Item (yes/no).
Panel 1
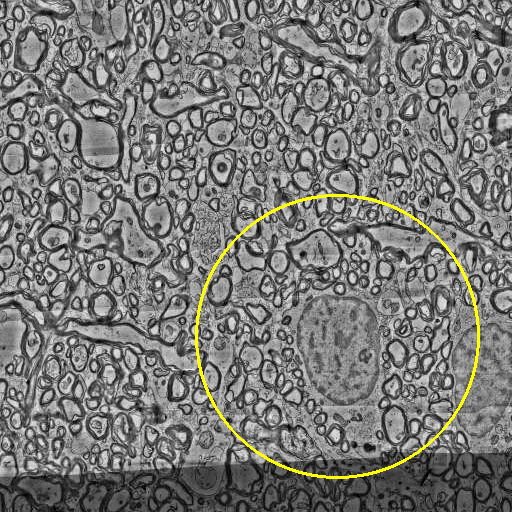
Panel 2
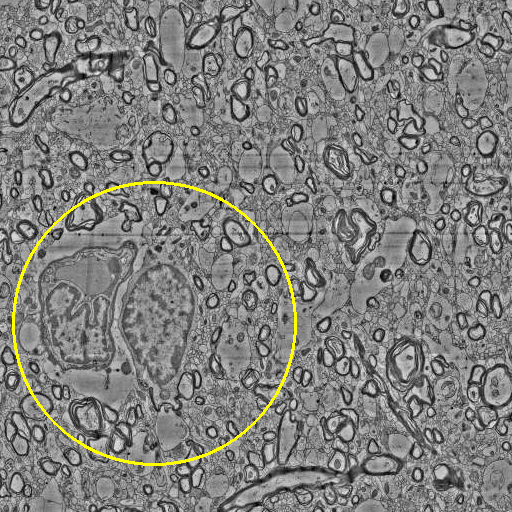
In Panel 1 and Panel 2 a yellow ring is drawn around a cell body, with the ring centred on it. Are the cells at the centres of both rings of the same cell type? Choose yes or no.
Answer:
yes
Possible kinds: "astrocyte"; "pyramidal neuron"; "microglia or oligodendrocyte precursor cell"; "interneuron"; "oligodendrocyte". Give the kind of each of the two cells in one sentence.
Each one of the two ringed cells is an oligodendrocyte.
